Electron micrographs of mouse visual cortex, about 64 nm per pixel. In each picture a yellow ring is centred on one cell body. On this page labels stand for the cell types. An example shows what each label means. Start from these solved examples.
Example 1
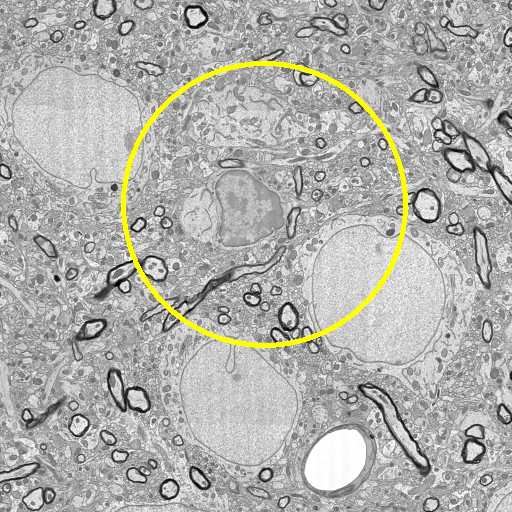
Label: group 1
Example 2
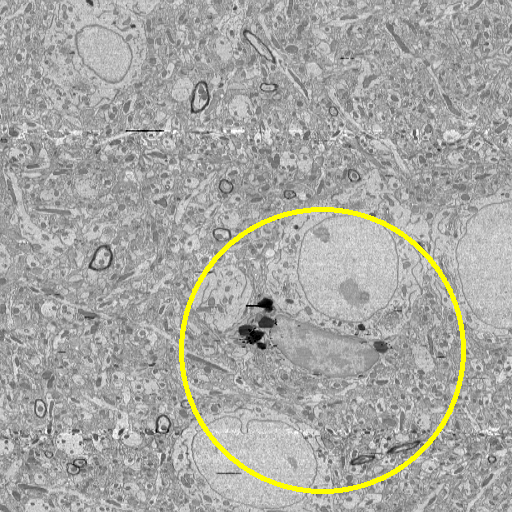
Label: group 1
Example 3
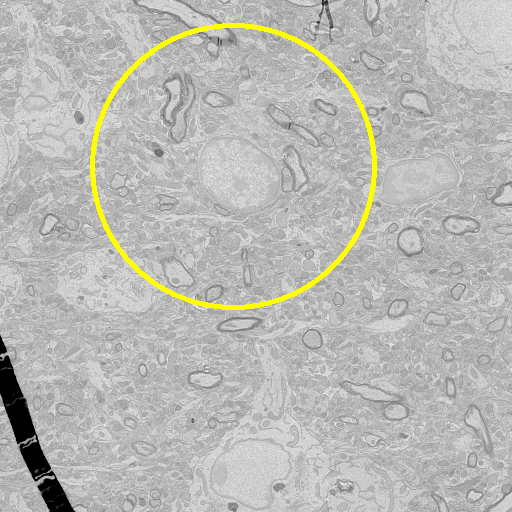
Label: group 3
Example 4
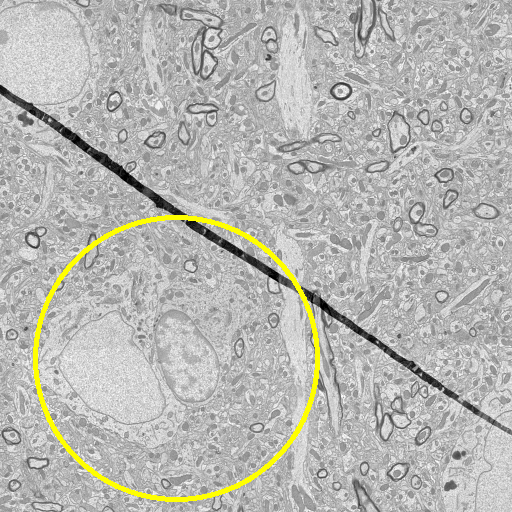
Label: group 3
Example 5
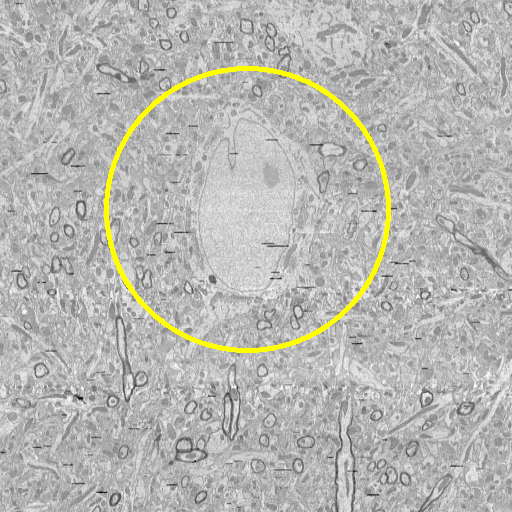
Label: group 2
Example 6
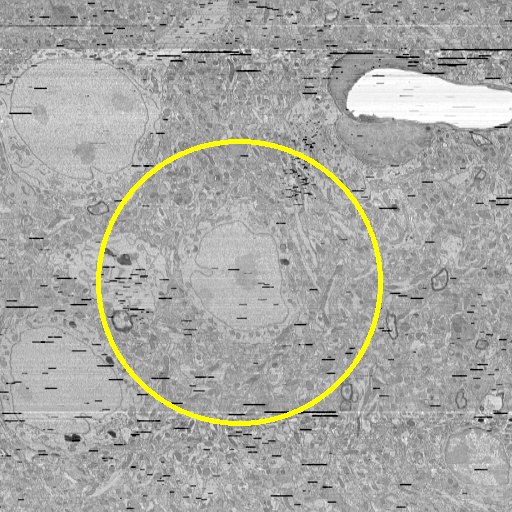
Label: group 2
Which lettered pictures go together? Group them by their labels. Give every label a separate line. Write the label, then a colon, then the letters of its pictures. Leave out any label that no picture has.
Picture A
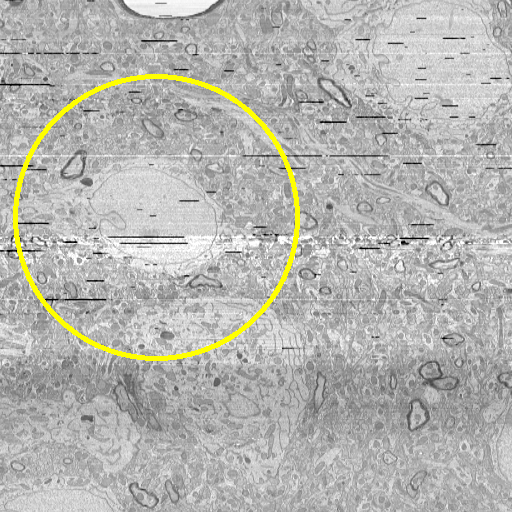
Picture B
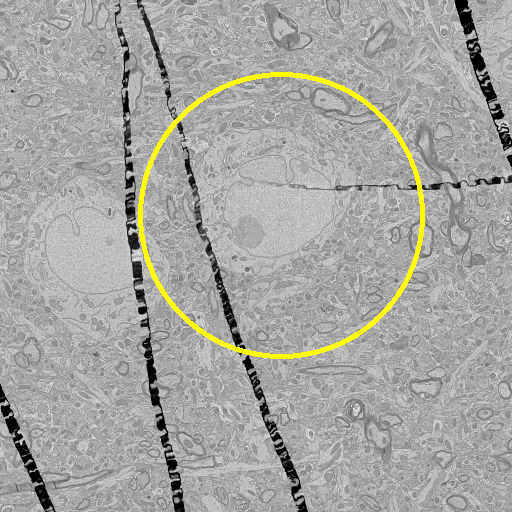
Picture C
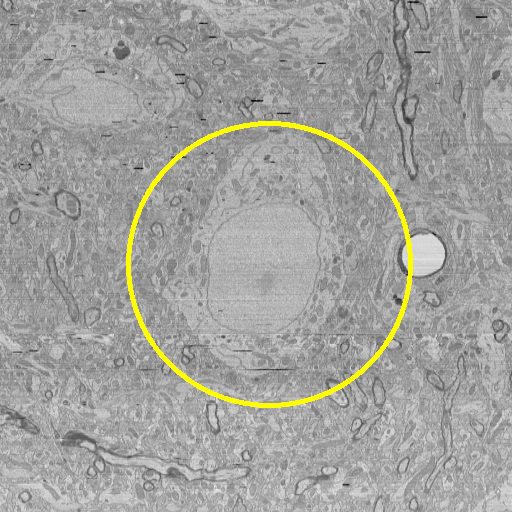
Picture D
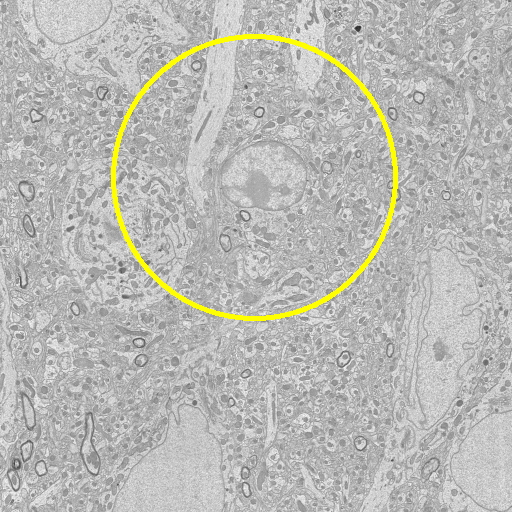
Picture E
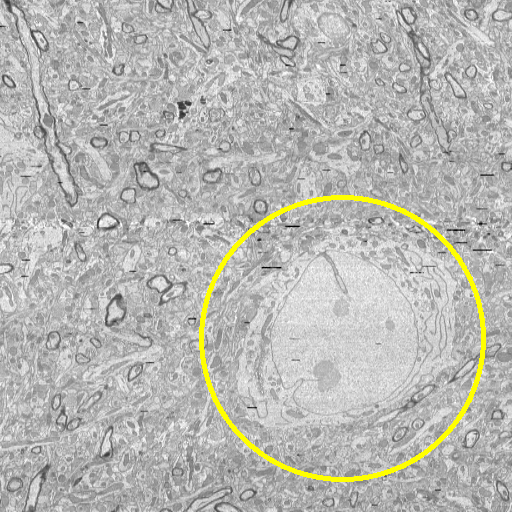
group 3: D
group 2: A, B, C, E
